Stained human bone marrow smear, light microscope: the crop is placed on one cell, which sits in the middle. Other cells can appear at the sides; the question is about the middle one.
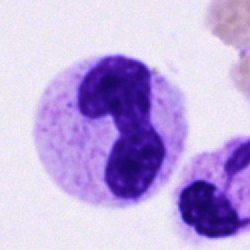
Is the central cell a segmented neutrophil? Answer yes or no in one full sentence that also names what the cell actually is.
No, the cell occupying the centre is a band neutrophil, not a segmented neutrophil.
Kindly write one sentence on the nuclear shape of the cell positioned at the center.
The nucleus has been partitioned into two or more lobes.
